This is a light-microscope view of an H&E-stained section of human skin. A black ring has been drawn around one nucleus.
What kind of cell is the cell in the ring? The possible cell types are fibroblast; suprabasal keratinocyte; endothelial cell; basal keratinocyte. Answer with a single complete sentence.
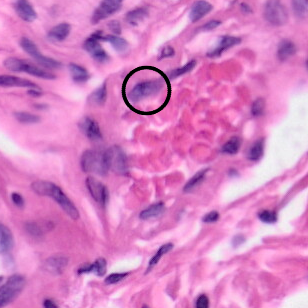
The cell in the ring is an endothelial cell.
